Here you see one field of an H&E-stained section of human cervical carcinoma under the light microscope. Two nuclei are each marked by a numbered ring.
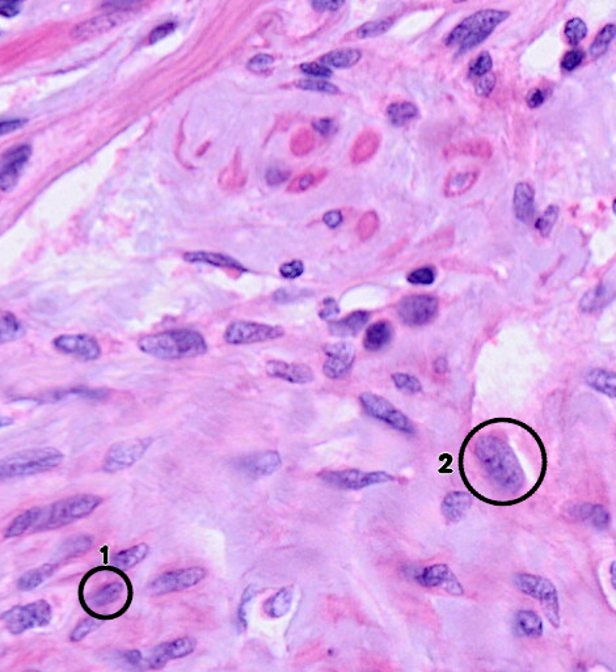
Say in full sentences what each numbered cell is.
Cell 1 is a smooth muscle cell and cell 2 is an endothelial cell.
